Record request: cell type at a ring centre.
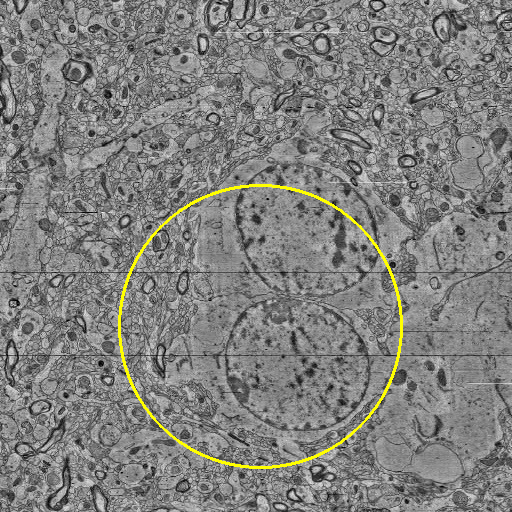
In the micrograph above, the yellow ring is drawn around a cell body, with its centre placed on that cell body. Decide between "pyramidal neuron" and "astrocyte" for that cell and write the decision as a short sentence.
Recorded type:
The cell centred in the yellow ring is an astrocyte.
